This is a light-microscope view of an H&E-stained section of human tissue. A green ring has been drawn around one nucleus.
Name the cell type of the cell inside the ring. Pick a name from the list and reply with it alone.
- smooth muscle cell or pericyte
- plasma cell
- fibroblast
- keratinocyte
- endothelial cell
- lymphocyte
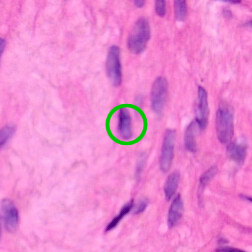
smooth muscle cell or pericyte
